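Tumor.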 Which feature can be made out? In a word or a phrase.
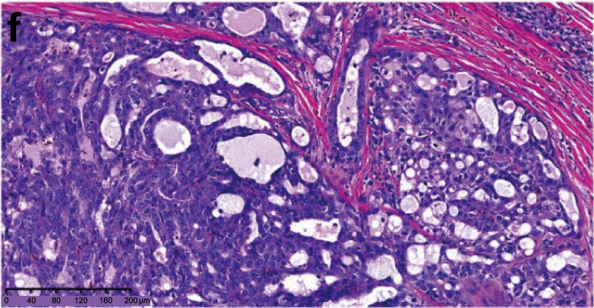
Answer: tubular structures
